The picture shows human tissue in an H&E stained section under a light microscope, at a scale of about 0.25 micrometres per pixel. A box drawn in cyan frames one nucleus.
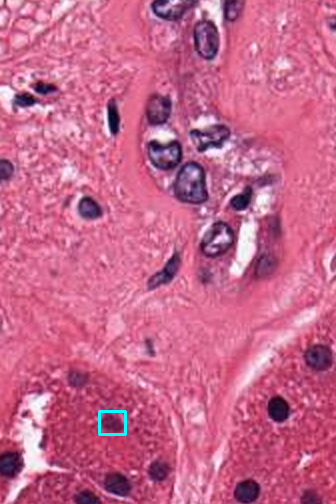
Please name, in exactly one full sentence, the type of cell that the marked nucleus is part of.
The marked nucleus belongs, in this picture, to a proximal tubule cell.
